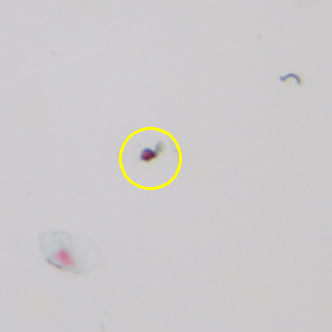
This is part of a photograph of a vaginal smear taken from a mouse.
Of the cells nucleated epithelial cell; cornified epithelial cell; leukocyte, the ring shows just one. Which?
The ring shows a leukocyte.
